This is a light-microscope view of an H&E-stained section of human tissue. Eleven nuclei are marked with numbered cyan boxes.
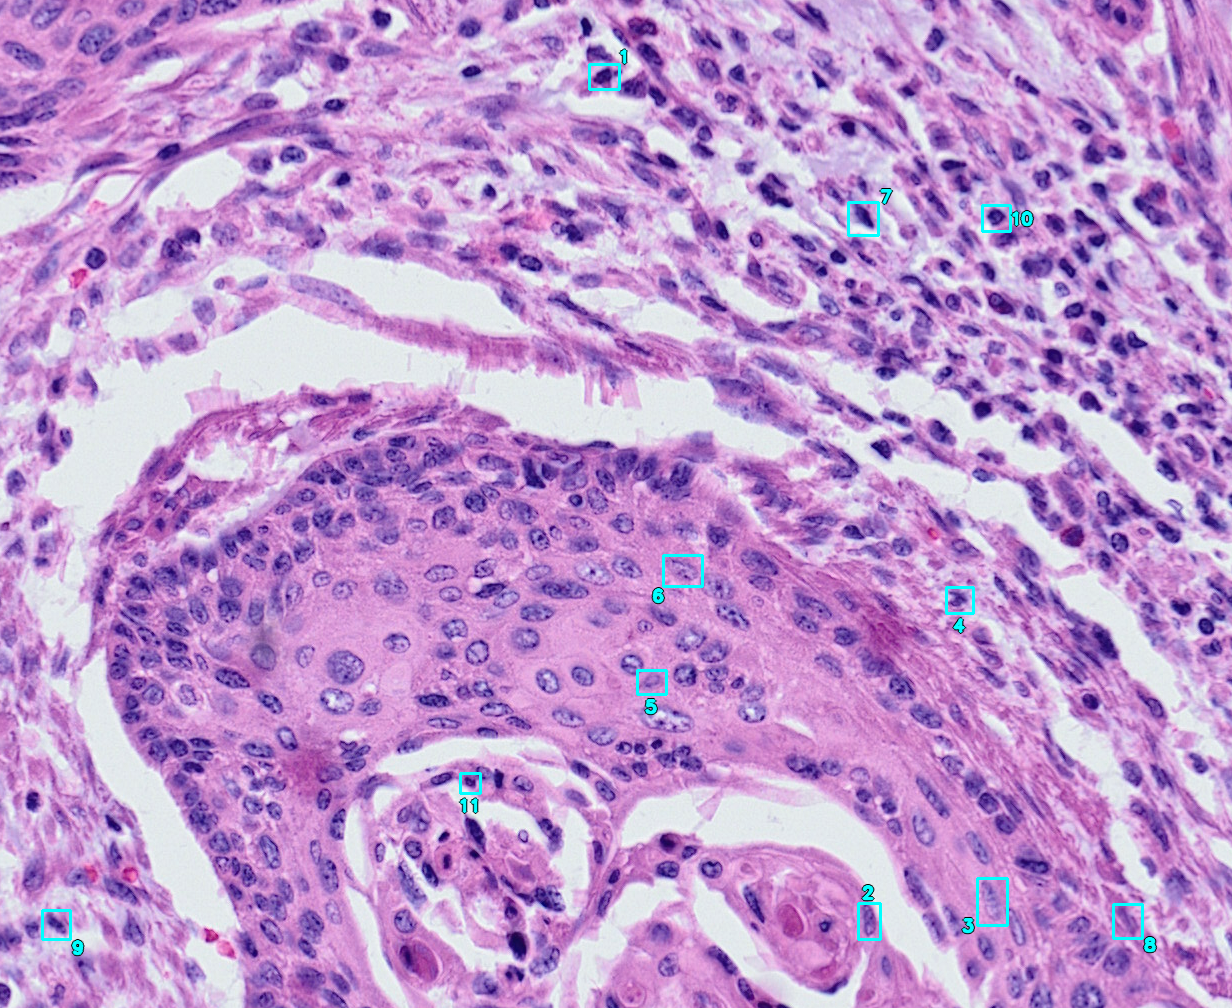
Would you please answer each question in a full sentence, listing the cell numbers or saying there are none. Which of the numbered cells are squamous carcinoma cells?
The cells with numbers 2, 3, 5, 6 and 11 are squamous carcinoma cells by type.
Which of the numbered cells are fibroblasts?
The cells referred to by numbers 4 and 8 are fibroblasts.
